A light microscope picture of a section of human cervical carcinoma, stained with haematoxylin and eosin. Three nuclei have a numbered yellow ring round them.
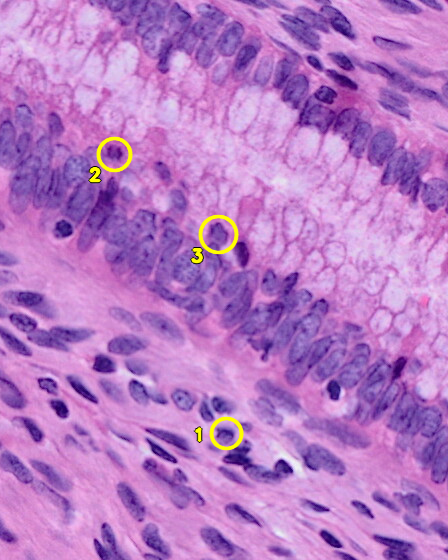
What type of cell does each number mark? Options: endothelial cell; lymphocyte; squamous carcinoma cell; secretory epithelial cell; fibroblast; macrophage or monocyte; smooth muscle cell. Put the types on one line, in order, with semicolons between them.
fibroblast; secretory epithelial cell; secretory epithelial cell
